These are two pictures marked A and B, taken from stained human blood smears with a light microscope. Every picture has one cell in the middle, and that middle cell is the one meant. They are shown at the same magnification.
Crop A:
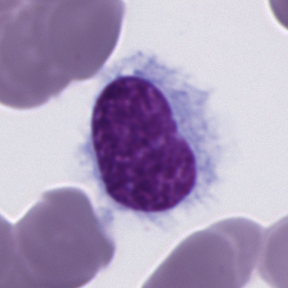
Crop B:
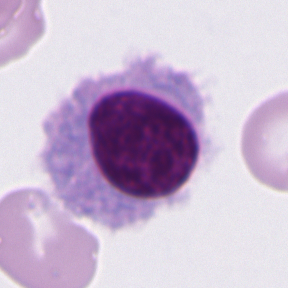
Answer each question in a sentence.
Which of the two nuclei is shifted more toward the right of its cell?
It is the nucleus in crop B that lies further toward the right of its cell.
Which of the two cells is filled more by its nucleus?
Of the two, the nucleus in crop A makes up the greater part of its cell.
